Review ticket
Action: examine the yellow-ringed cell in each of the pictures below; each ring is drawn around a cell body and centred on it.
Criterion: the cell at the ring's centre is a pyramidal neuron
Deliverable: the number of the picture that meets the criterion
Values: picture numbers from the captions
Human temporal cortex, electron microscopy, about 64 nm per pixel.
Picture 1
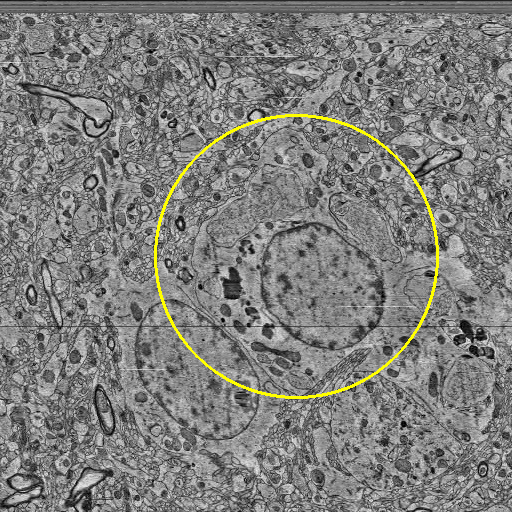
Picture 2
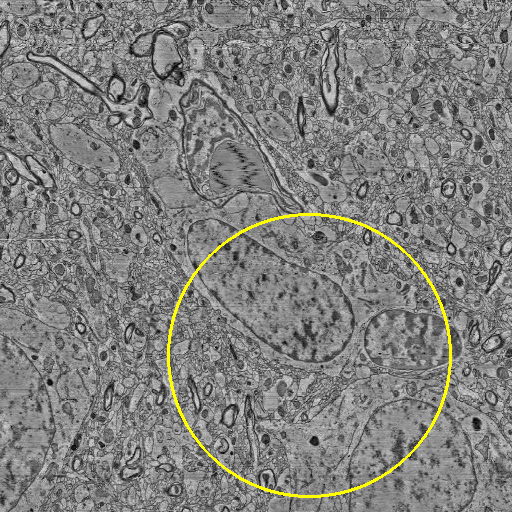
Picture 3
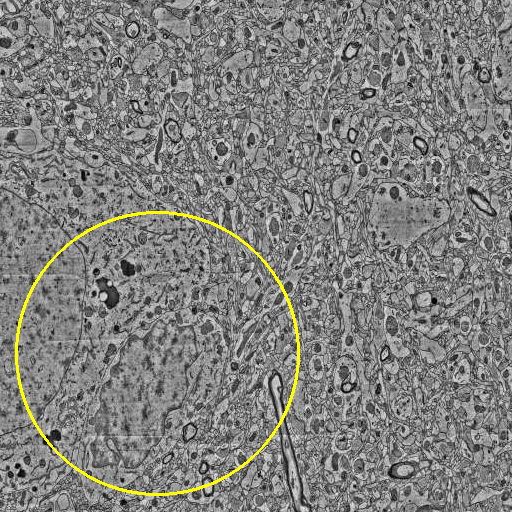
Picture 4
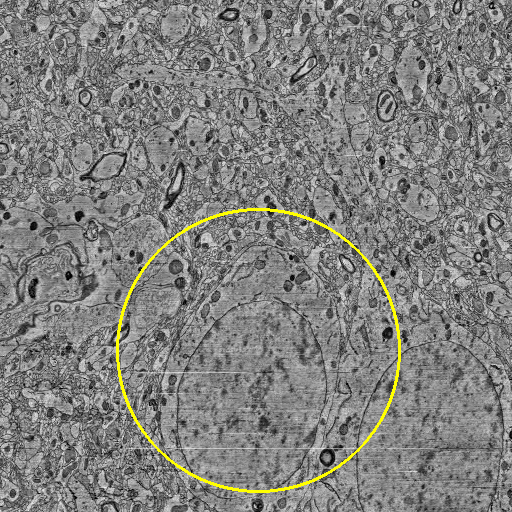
4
